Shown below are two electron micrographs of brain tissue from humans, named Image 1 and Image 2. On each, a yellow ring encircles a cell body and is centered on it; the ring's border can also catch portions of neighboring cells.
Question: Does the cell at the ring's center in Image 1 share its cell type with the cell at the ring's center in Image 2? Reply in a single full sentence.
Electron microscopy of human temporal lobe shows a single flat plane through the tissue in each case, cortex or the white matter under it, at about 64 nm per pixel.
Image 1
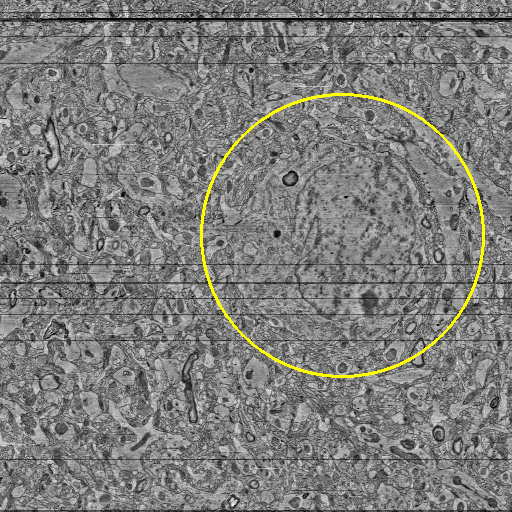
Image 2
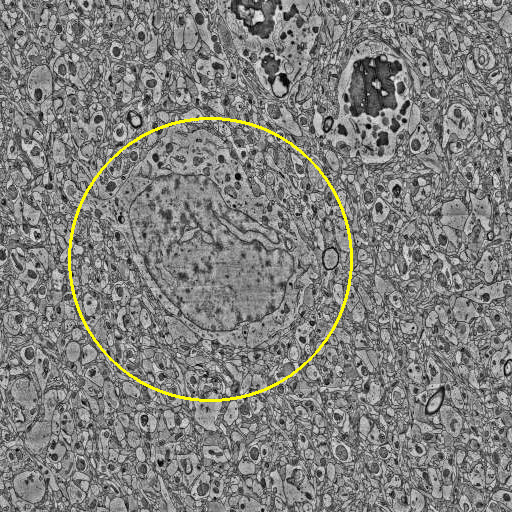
Yes, the two cells at the ring centers, in Image 1 and Image 2, share one cell type.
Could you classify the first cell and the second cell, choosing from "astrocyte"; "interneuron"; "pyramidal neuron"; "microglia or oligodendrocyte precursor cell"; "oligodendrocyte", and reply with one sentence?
The cell at the ring centre is an interneuron in both pictures.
